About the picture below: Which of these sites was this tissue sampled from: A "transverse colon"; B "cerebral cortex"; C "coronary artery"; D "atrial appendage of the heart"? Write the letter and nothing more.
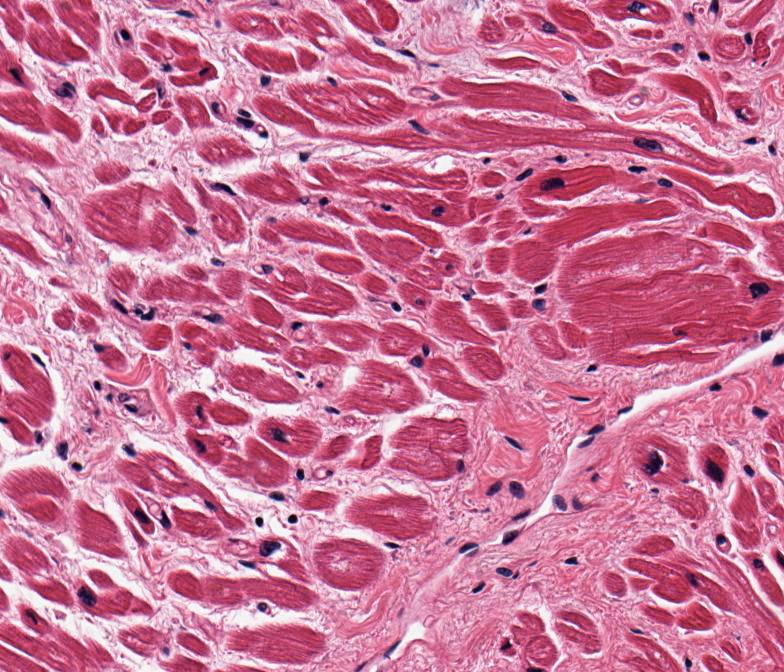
D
